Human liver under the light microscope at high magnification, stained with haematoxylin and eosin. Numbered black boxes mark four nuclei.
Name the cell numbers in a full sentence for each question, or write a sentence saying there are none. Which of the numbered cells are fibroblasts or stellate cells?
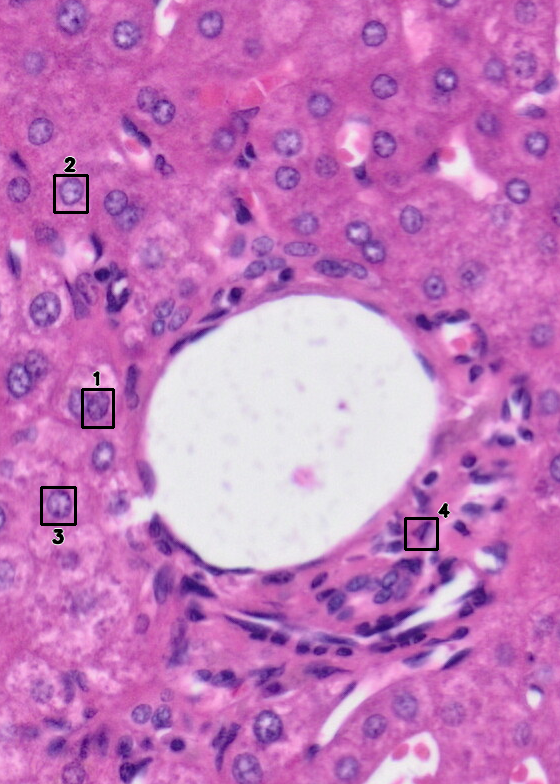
Only one choice fits: cell 4 is a fibroblast or stellate cell, and no other.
